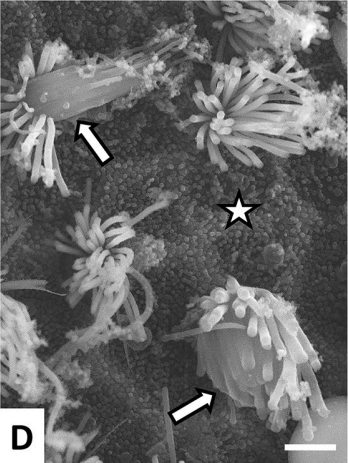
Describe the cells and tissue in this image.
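The surface of a vestibular sensory epithelium is seen from above, with hair-cell stereocilia bundles standing among apical surfaces of supporting cells. The background is a dense carpet of short knob-like microvilli, and where these meet no bundle arises. Several bundles are tufts of long, slender, rounded stereocilia that bend and splay. In two bundles the stereocilia are merged into a smooth, elongated or bulging central mass from which the remaining stereocilia radiate outward. The bundles are irregularly spaced, leaving wide stretches of microvillous surface between them.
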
